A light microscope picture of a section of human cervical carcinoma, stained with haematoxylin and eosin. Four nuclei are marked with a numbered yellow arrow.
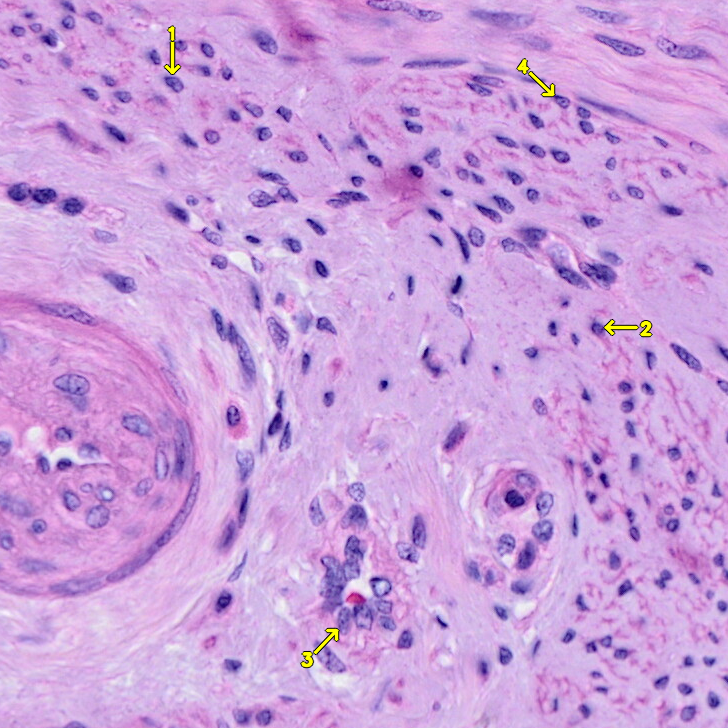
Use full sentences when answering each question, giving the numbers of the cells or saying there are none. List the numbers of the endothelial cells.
Response: cell 3 is an endothelial cell, and no other numbered cell is.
